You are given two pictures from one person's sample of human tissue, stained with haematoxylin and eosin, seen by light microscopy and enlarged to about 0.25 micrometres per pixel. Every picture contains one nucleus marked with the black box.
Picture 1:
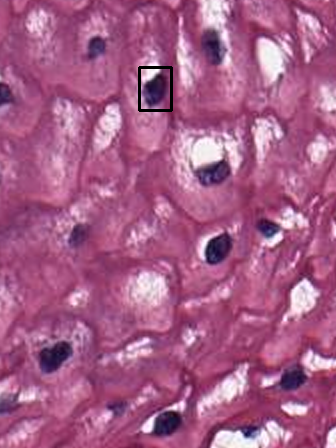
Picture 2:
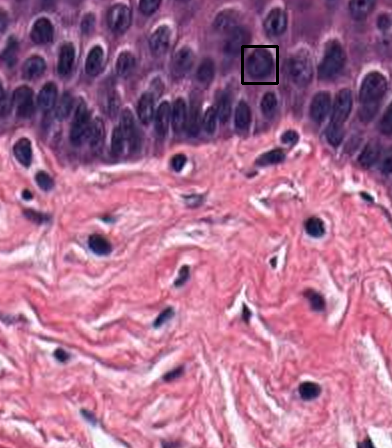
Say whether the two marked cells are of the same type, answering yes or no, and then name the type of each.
Yes, both are squamous epithelial cells.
